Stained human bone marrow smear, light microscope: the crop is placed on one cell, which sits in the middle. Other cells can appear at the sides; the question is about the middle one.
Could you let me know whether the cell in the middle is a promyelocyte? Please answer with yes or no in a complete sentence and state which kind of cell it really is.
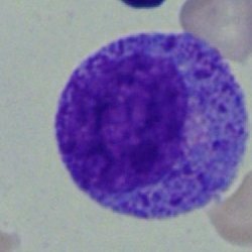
Yes, the cell found at the centre of the crop is a promyelocyte.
